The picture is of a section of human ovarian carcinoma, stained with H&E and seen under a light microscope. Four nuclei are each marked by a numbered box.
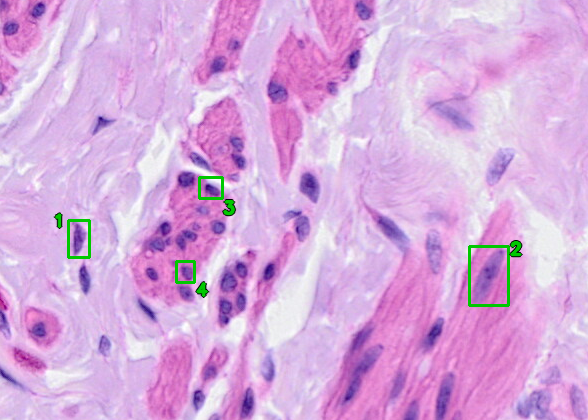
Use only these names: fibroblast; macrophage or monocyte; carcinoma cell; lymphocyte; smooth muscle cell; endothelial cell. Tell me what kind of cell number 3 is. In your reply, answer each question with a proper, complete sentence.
Denoted by the label 3 in the section is a smooth muscle cell.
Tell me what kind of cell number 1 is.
In this section, the cell tagged 1 is a fibroblast.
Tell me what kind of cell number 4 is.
As for number 4, that cell is a smooth muscle cell.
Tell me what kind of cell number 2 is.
The nucleus labeled 2 belongs to a smooth muscle cell.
